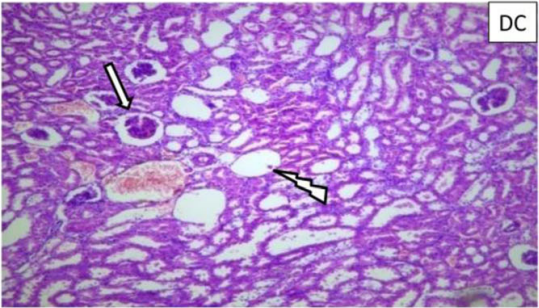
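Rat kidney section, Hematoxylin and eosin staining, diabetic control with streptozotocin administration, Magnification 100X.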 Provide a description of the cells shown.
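This is the renal cortex at low power, with round glomeruli set among many cut tubules stained pink to purple. Each glomerulus is a dense purple ball of capillaries inside a thin capsule, separated from it by a narrow clear space. Among the tubules there are several large, round, empty-looking clear spaces, much wider than the ordinary tubule lumens, giving the tissue a vacuolated appearance. Some vessels to the left are packed with red blood cells. Compared with an orderly cortex, the tubular pattern here looks disrupted, with pale, loosened areas between the tubules.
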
